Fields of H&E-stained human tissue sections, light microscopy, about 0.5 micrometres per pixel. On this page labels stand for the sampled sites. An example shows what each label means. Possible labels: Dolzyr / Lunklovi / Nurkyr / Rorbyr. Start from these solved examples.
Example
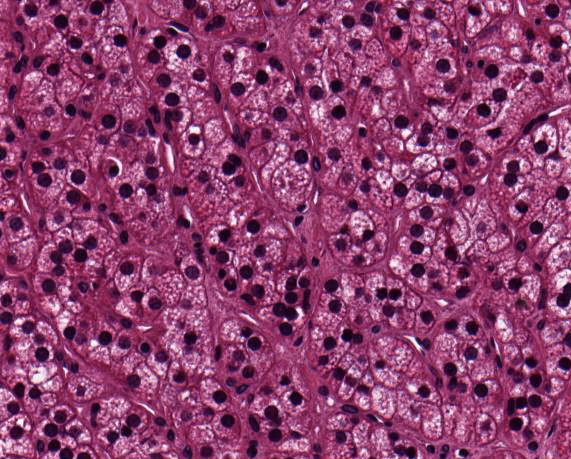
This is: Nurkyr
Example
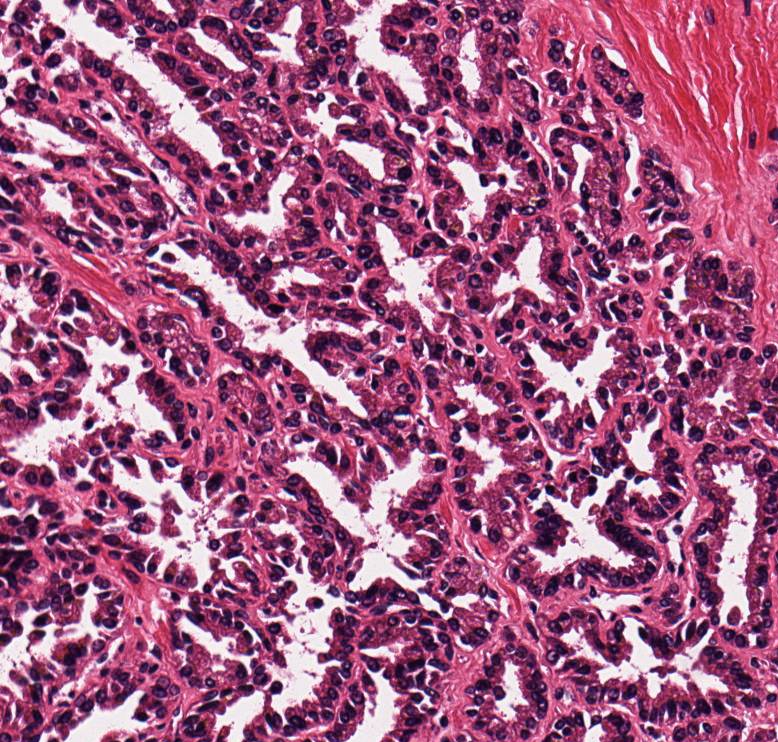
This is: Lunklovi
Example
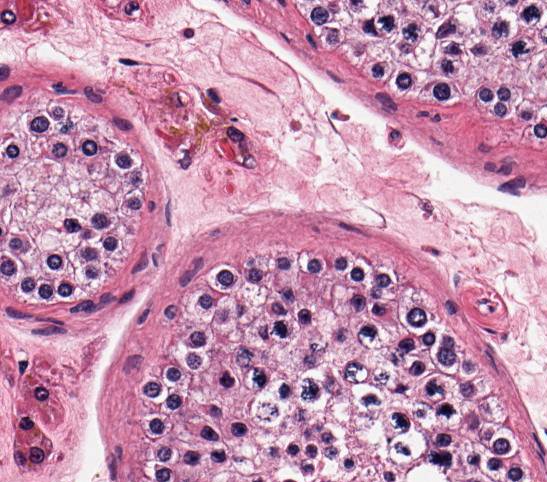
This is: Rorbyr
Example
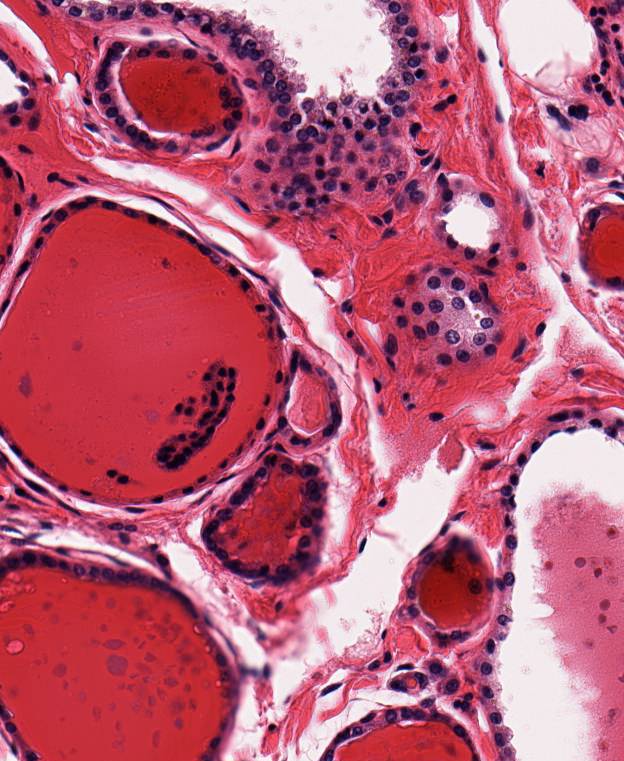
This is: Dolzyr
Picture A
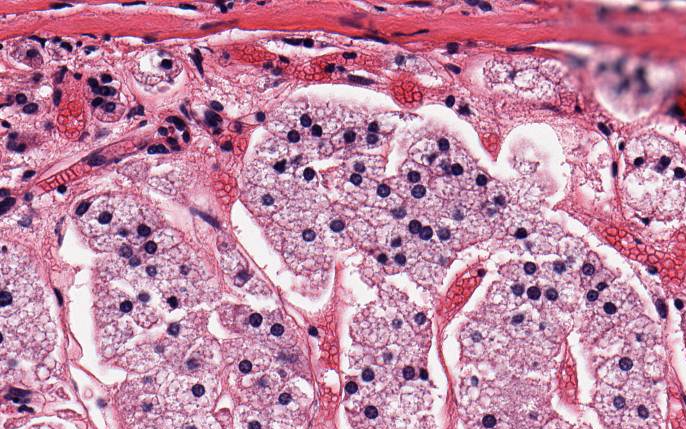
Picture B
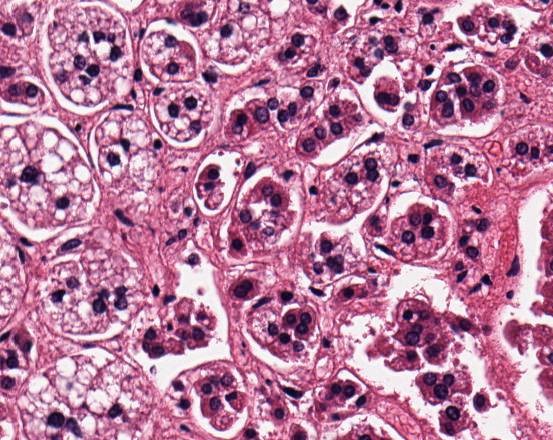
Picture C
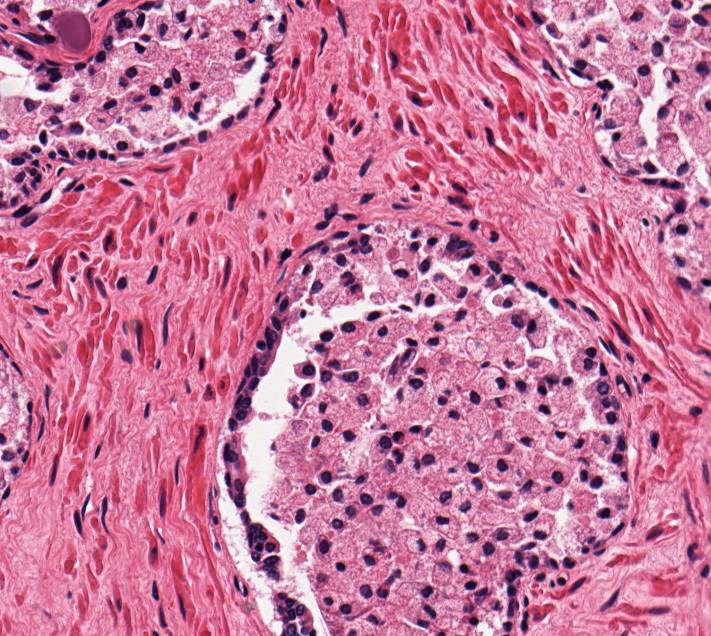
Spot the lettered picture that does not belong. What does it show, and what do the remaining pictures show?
C: Lunklovi; all the others: Nurkyr.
